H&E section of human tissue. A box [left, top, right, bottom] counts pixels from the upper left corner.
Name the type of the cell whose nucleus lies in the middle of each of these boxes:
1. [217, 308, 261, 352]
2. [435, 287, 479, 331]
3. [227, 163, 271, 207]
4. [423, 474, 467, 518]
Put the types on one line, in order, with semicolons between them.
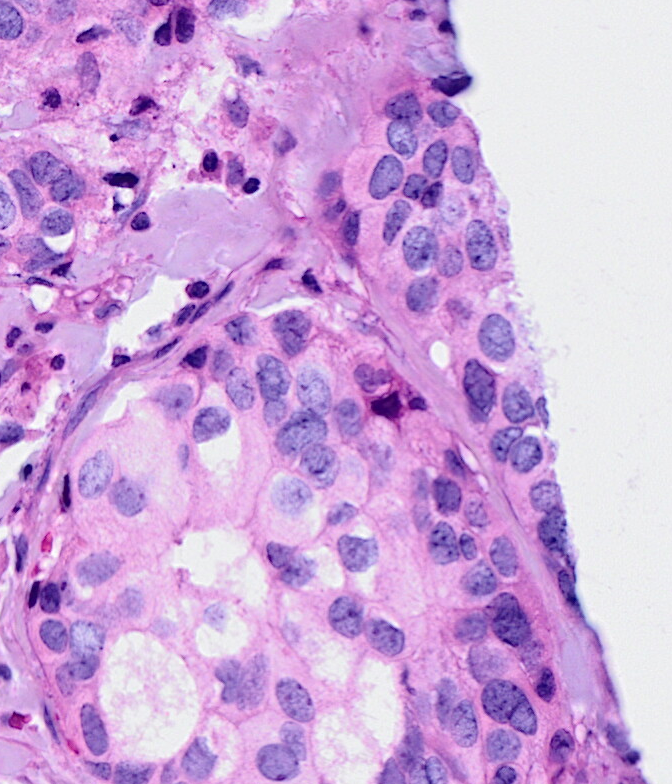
carcinoma cell; carcinoma cell; lymphocyte; carcinoma cell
